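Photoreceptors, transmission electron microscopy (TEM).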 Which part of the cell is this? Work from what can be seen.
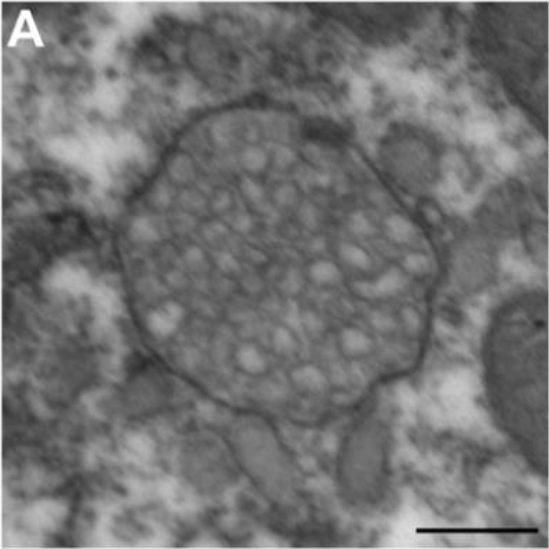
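A large round compartment bounded by a single membrane fills the centre of the image. Its lumen is crowded with many small round vesicles. Smaller dense organelles lie outside it in the surrounding cytoplasm.
Conclusion: multivesicular endosomes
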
